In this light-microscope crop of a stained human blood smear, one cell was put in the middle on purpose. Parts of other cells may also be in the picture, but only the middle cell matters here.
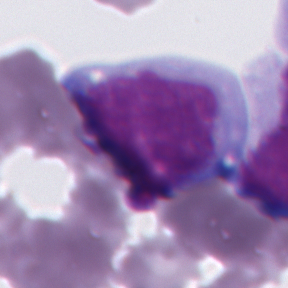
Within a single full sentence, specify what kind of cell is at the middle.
The cell centred in this crop is categorized as a blast.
